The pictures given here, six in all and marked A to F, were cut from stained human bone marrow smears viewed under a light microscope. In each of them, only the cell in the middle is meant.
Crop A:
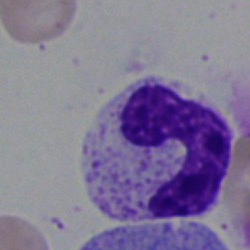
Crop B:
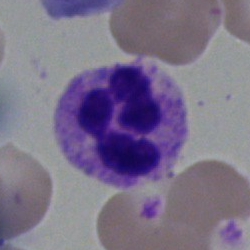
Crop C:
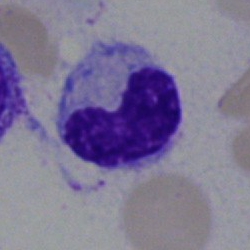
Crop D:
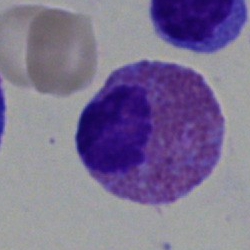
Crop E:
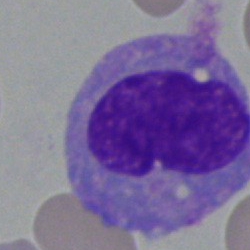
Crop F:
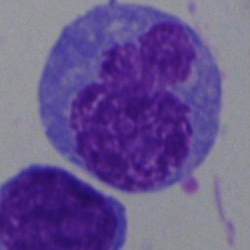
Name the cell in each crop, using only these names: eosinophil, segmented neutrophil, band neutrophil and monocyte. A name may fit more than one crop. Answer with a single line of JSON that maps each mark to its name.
{"A": "band neutrophil", "B": "segmented neutrophil", "C": "band neutrophil", "D": "eosinophil", "E": "monocyte", "F": "monocyte"}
